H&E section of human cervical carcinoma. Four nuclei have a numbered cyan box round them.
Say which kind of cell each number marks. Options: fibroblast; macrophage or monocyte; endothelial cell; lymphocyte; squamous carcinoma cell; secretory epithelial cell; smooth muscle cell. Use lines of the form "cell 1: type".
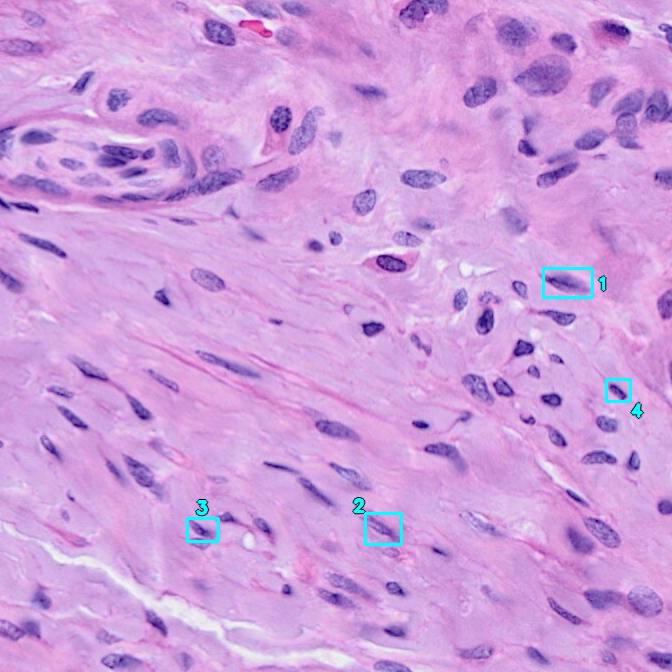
cell 1: fibroblast
cell 2: smooth muscle cell
cell 3: fibroblast
cell 4: fibroblast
